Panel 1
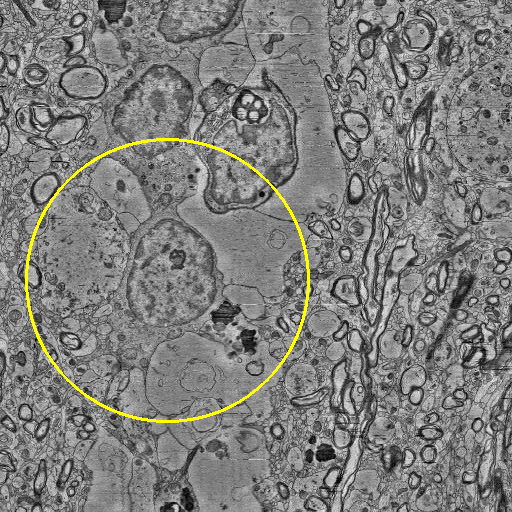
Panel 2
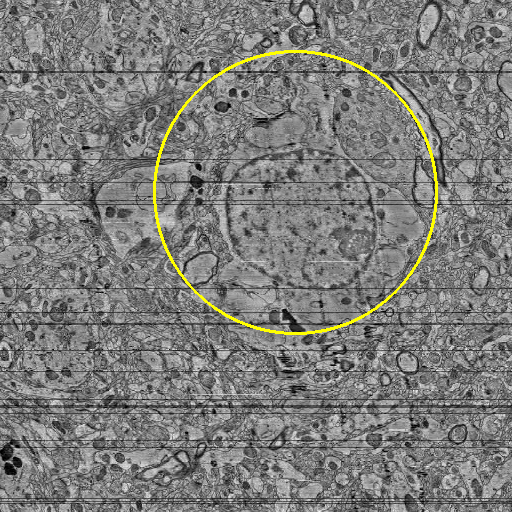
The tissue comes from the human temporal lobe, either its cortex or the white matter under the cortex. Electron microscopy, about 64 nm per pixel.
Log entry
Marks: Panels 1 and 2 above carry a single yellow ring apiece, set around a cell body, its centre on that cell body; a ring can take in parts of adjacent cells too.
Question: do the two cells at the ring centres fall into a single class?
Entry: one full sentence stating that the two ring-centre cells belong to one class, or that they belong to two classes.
The two ring-centre cells in Panels 1 and 2 belong to two classes.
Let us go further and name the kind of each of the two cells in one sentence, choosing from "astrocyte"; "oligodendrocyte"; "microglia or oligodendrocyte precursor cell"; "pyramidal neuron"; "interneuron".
The ring of the first picture is on an oligodendrocyte, the ring of the second on an astrocyte.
